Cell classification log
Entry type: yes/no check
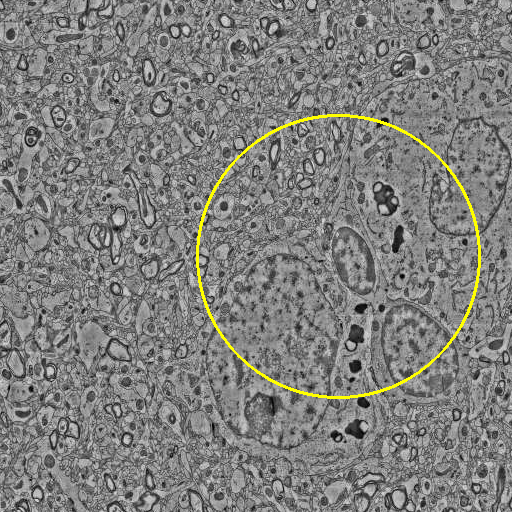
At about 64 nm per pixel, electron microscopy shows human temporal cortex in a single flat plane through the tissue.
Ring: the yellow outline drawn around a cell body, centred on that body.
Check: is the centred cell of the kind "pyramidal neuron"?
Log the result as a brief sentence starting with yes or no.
No, the cell is of another kind.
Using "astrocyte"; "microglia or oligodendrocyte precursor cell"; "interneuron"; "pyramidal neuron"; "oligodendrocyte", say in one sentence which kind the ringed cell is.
It is a microglial cell or oligodendrocyte precursor cell that the ring is centred on.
